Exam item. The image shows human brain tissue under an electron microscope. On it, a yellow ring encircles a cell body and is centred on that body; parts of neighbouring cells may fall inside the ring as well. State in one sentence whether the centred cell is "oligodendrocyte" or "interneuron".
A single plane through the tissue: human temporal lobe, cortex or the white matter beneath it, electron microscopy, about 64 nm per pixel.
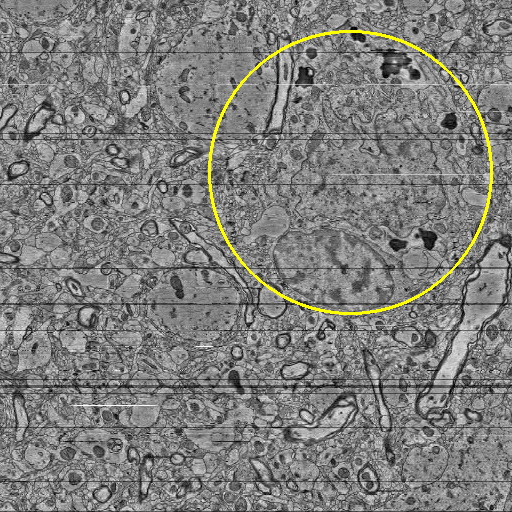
The cell body centred in the ring is an interneuron.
